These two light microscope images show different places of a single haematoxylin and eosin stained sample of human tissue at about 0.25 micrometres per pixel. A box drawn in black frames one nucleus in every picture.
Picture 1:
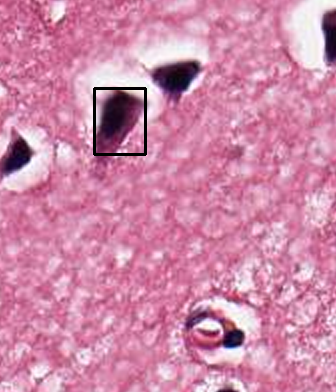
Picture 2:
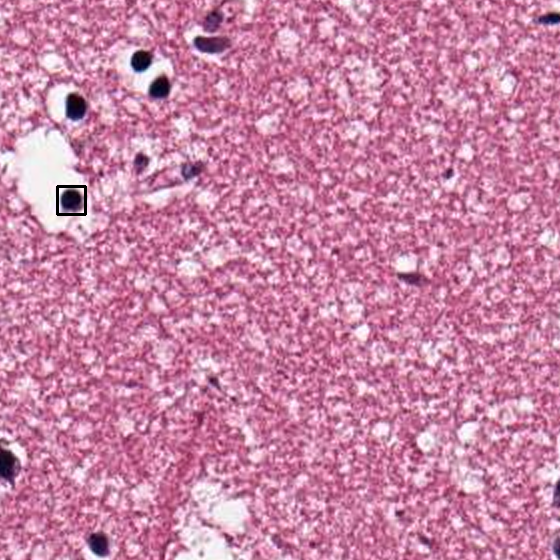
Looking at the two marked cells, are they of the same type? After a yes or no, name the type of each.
No, the first is a neuron and the second an oligodendrocyte.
